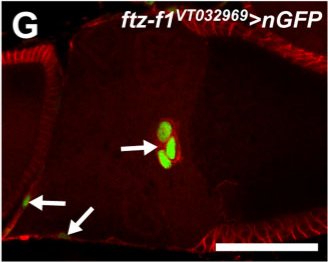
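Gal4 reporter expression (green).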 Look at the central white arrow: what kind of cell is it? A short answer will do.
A: Border cells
